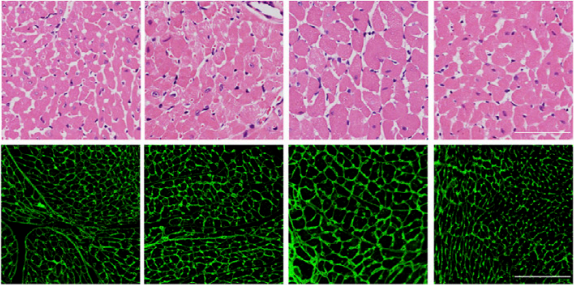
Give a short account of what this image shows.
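Heart muscle cut across, showing cardiomyocytes as closely packed polygonal profiles. In the upper row the cytoplasm is pink and the small dark nuclei sit at the cell centres or margins, with narrow pale spaces between cells. In the lower row the cell borders are traced by thin green lines forming a net, the cell interiors dark. In the third column the profiles look larger than in the first two columns, with fewer cells fitting into the same field, while the fourth column looks intermediate. Longitudinally cut fibres appear in parts of the green images.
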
